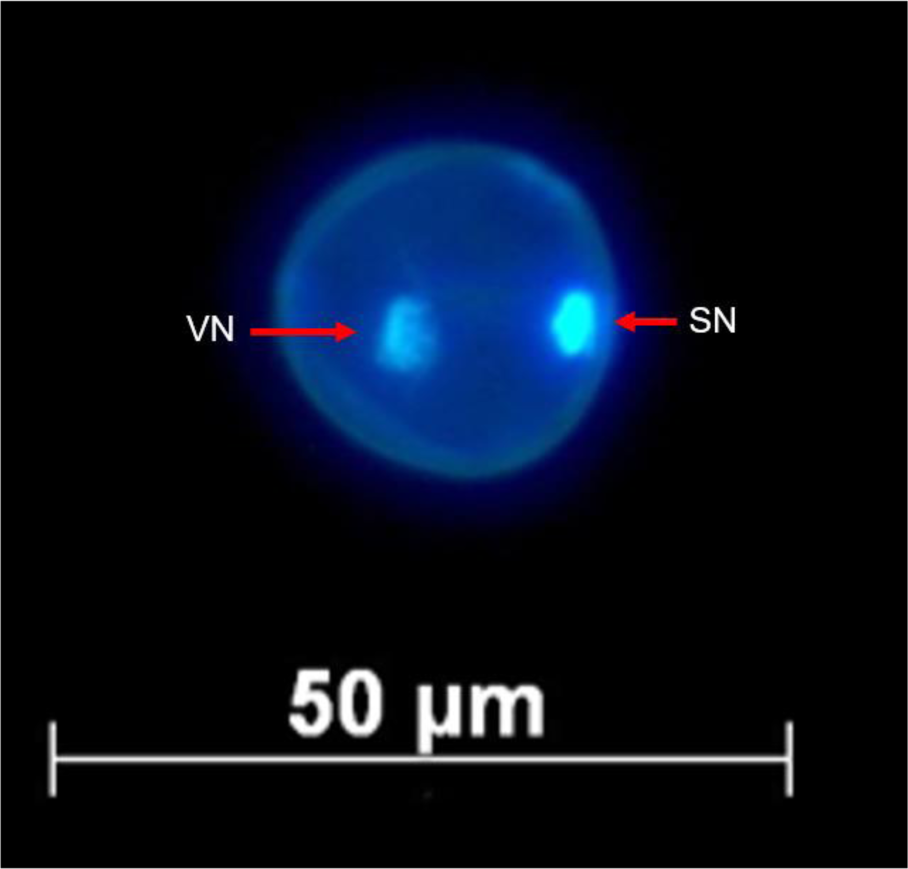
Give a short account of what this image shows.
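This is a single round pollen grain seen in blue fluorescence, its outer wall forming a brighter rim around a dimmer body. Inside lie two brightly stained nuclei on roughly one line across the grain. One, near the edge, is small, compact and intensely bright, while the other, nearer the centre, is larger, more diffuse and less bright.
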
